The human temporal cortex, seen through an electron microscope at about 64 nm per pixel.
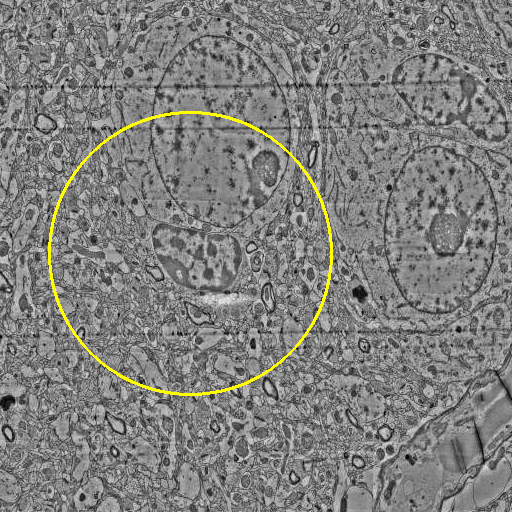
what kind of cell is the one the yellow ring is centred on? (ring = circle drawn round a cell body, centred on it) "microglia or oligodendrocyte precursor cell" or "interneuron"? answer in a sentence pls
The ring is drawn around a microglial cell or oligodendrocyte precursor cell.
